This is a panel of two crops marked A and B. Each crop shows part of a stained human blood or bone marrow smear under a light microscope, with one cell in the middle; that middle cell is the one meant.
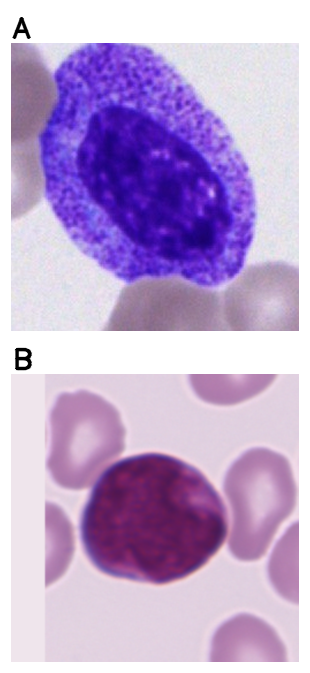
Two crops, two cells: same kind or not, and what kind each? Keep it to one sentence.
No, the cell in crop A is a myelocyte, and the cell in crop B is a blast.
